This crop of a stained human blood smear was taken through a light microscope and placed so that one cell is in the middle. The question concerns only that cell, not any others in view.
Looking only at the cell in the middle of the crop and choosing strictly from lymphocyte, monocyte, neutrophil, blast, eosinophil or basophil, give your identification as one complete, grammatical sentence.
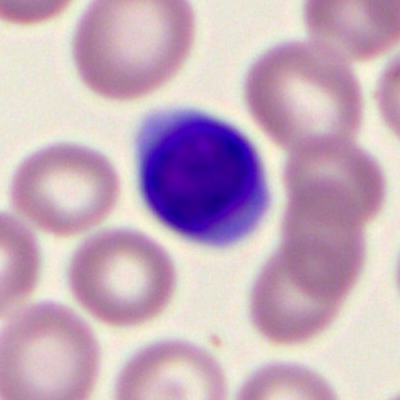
Standing at the centre of this crop is a lymphocyte.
